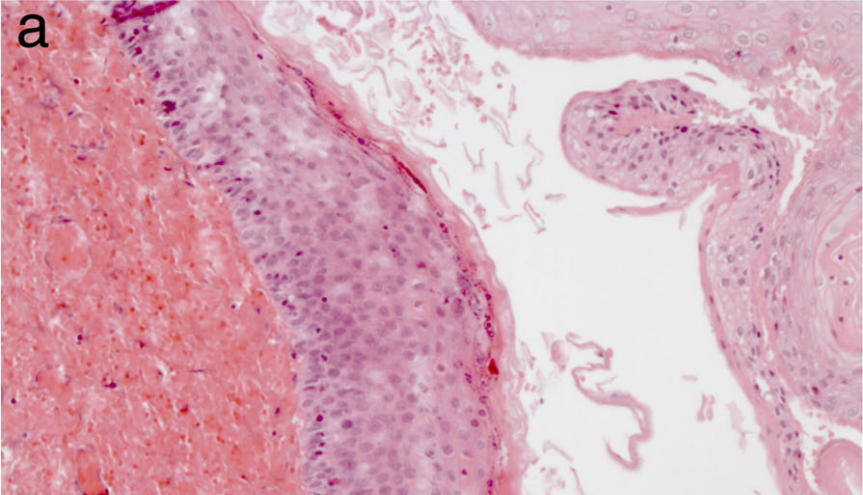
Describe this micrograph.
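A cyst wall is lined by stratified squamous epithelium composed of many layers of polygonal cells with round, evenly spaced purple nuclei and pale pink cytoplasm. Toward the luminal side the cells become flatter, covered by a thin pink surface layer. The lumen holds scattered thin, wavy, pale pink anucleate flakes of keratin debris. Beneath the epithelium lies dense pink fibrous stroma with sparse small nuclei.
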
